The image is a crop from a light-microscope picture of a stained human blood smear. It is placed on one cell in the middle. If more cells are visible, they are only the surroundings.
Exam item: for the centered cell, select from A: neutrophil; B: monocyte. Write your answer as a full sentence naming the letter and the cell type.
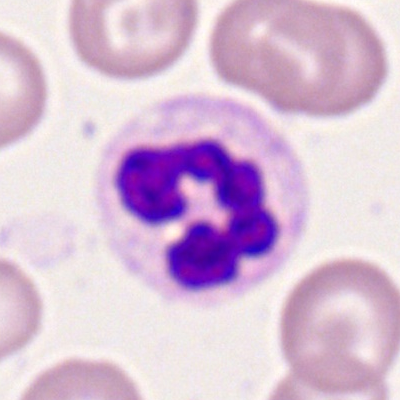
The central cell is a neutrophil, which makes option A the right answer.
